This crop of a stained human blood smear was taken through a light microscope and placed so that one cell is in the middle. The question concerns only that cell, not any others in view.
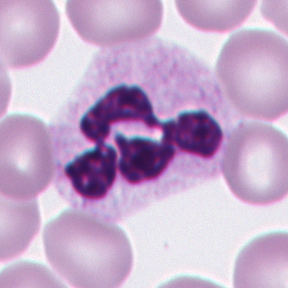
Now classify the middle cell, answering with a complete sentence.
The cell around which this crop is centred is a segmented neutrophil.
